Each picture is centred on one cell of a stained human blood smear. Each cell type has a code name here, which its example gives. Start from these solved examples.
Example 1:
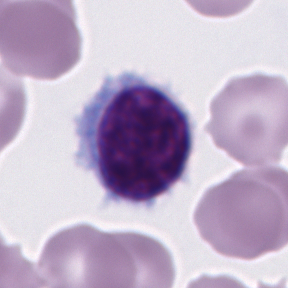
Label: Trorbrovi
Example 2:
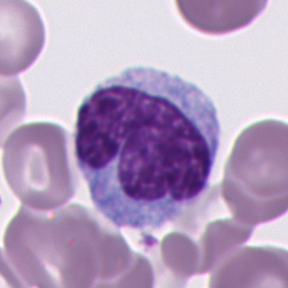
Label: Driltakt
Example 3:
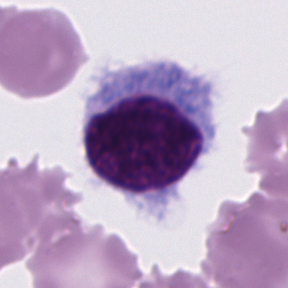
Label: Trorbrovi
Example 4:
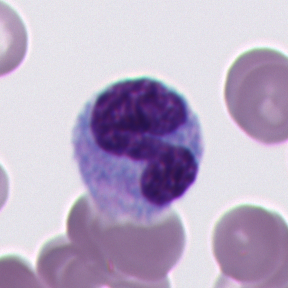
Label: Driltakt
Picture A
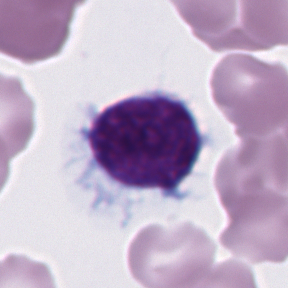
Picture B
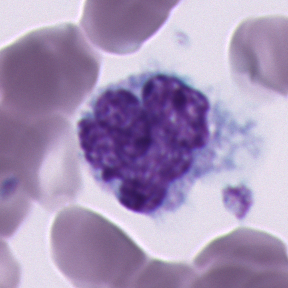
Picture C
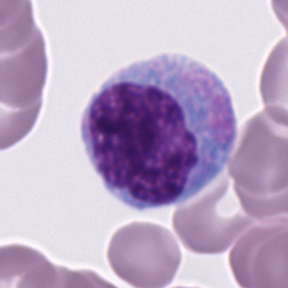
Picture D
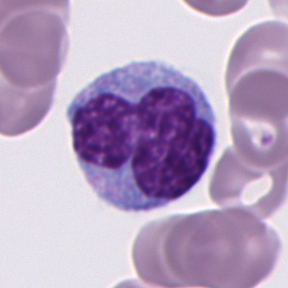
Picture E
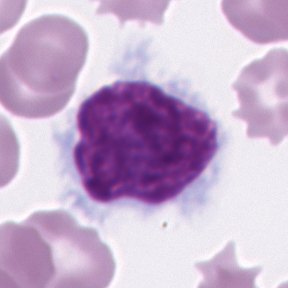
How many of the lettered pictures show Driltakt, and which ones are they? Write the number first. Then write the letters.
3, namely B, C, D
